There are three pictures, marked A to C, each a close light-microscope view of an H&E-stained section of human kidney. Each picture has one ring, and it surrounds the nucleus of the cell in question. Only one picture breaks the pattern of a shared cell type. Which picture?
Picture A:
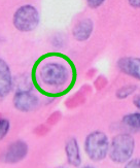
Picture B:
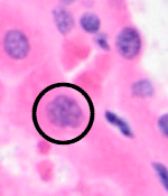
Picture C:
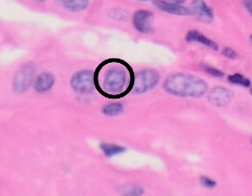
B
